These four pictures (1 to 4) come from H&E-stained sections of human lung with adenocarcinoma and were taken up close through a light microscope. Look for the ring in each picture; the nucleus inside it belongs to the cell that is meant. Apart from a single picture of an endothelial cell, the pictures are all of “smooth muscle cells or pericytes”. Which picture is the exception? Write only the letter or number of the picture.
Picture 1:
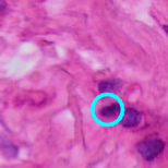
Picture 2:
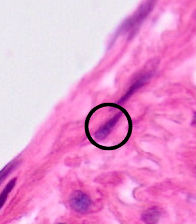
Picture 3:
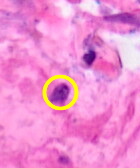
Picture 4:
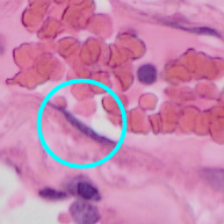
4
